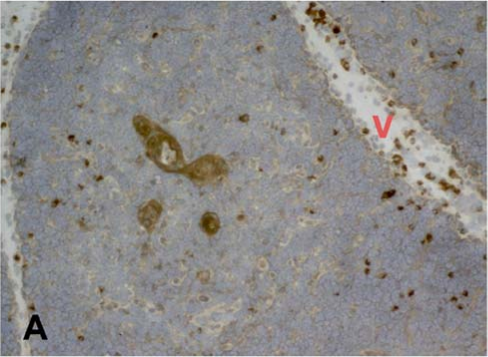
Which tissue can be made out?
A: Thymic tissue.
